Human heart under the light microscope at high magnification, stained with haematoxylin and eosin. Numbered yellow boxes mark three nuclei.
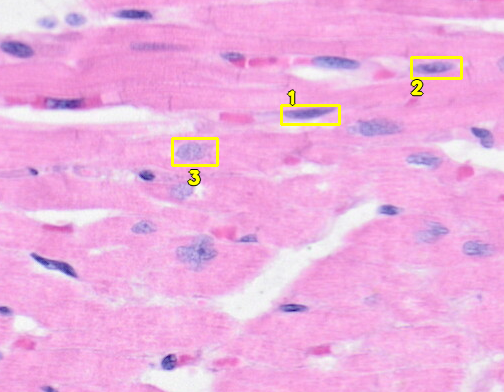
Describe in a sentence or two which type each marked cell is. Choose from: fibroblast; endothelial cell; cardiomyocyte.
Cell 1 is an endothelial cell. Cell 2 is a fibroblast. Cell 3 is a cardiomyocyte.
